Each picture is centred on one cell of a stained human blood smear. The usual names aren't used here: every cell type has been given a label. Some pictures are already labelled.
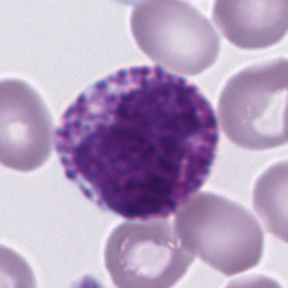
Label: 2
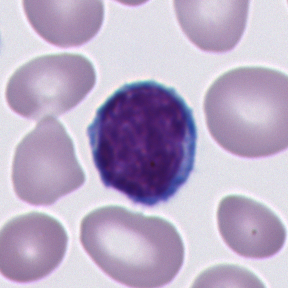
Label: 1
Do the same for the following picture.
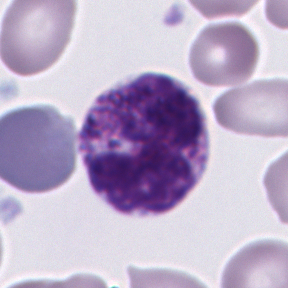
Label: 2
